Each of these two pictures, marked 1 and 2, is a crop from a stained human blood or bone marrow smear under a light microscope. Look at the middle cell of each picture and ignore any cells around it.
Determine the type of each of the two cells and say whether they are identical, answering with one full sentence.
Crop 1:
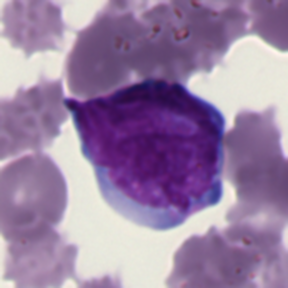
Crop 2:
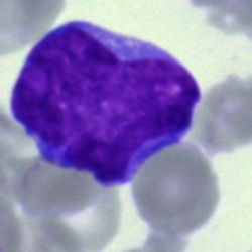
Yes, both crops are centred on cells that are blasts.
